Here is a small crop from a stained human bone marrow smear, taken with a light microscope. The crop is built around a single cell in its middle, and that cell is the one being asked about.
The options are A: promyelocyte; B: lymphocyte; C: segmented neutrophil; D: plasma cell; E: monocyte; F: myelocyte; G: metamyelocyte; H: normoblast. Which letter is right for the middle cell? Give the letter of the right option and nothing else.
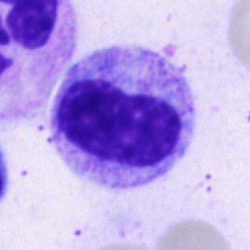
G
